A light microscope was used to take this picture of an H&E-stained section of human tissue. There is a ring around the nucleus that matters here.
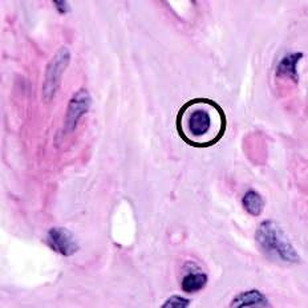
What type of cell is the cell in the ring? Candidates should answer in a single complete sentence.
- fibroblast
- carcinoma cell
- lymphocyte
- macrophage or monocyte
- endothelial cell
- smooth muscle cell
The identity of the cell in the ring is that of a lymphocyte.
